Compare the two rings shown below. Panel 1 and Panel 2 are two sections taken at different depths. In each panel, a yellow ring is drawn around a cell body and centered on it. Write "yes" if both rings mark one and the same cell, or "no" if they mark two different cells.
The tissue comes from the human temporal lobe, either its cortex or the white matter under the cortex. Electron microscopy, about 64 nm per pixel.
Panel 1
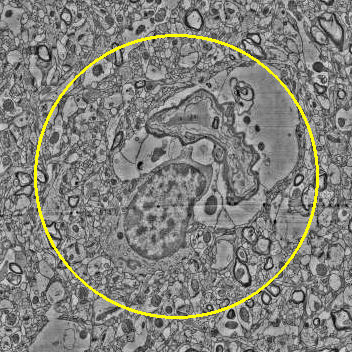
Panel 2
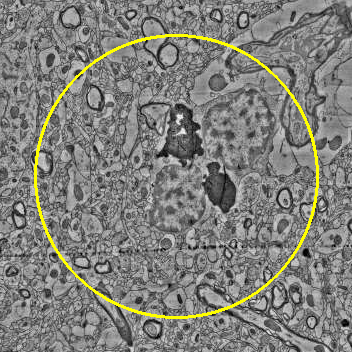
yes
